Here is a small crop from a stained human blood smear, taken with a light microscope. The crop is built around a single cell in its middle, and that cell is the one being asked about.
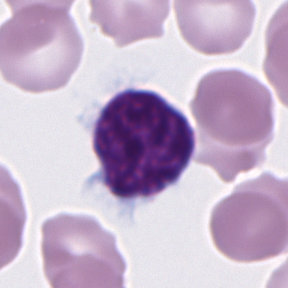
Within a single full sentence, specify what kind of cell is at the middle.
The crop shows a hairy cell in its centre.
